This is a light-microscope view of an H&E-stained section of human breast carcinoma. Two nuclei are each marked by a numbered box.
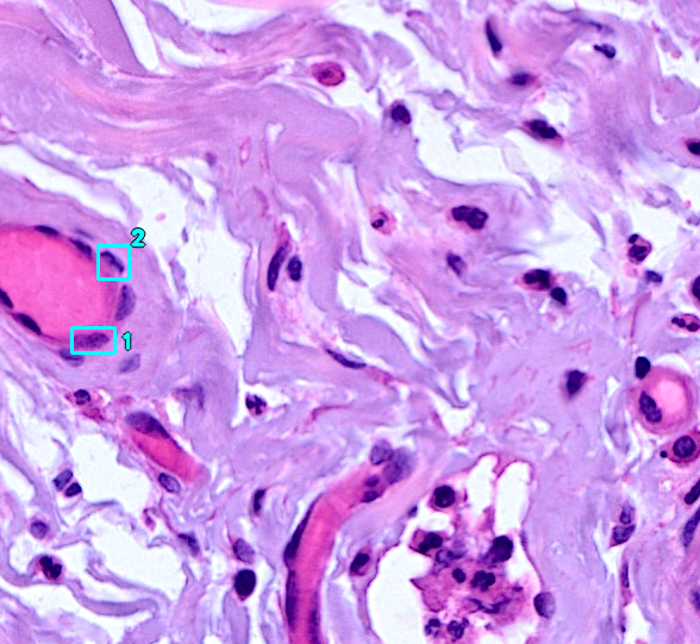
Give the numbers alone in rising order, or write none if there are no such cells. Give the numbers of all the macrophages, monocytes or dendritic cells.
none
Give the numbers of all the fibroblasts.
2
